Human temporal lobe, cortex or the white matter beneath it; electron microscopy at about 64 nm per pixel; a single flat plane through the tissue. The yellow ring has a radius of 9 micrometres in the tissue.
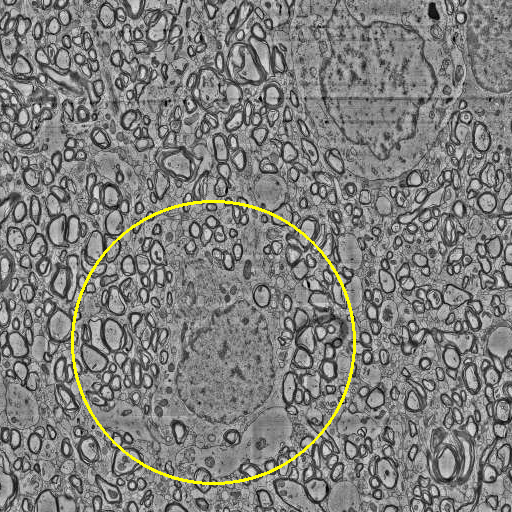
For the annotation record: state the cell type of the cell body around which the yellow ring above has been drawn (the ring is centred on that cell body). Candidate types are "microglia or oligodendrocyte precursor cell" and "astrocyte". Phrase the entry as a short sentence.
The ringed cell is an astrocyte.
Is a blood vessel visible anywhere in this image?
No, a blood vessel is absent from this picture.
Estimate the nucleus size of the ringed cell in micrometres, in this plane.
About 8 micrometres by about 6 micrometres in this plane.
